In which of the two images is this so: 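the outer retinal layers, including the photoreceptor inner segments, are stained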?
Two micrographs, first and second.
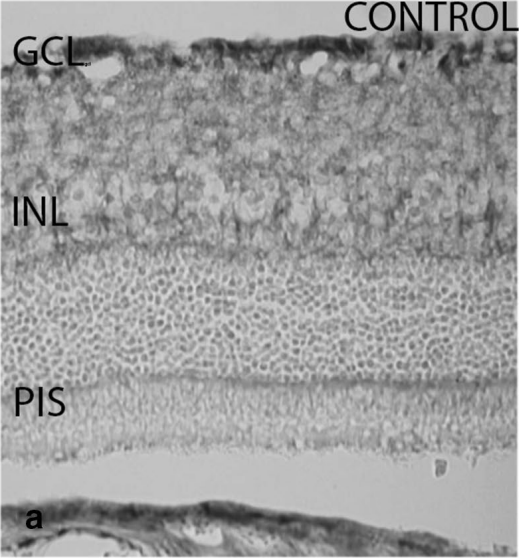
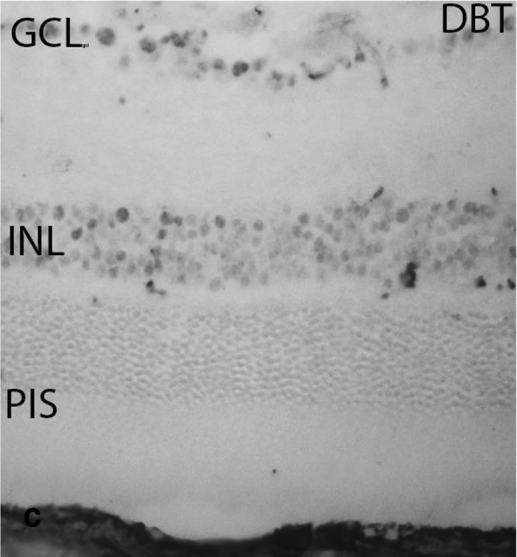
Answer: The first image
